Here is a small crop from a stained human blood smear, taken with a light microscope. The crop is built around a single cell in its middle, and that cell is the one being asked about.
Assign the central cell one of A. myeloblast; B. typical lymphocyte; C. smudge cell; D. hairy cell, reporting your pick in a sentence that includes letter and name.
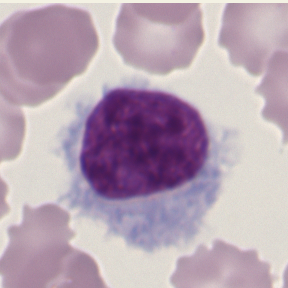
The cell occupying the centre is a hairy cell; option D is thus the correct choice.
